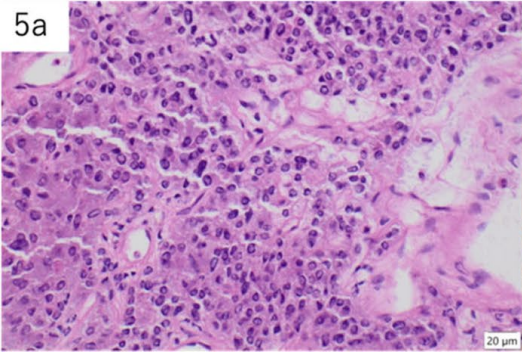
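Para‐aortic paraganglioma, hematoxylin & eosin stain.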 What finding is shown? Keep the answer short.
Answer: Epithelioid with abundant granular basophilic cytoplasm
